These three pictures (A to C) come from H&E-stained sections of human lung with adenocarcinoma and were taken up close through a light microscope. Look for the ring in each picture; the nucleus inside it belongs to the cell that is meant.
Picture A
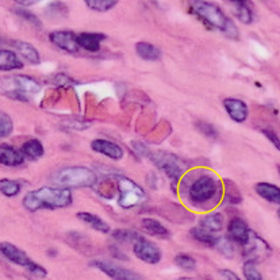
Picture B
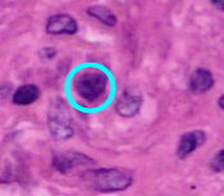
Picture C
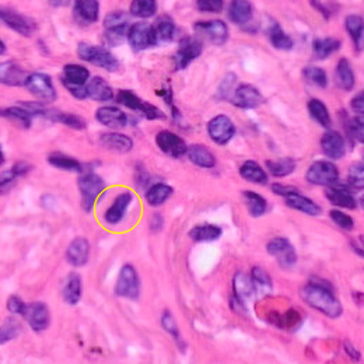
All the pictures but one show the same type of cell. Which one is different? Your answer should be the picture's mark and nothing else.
C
